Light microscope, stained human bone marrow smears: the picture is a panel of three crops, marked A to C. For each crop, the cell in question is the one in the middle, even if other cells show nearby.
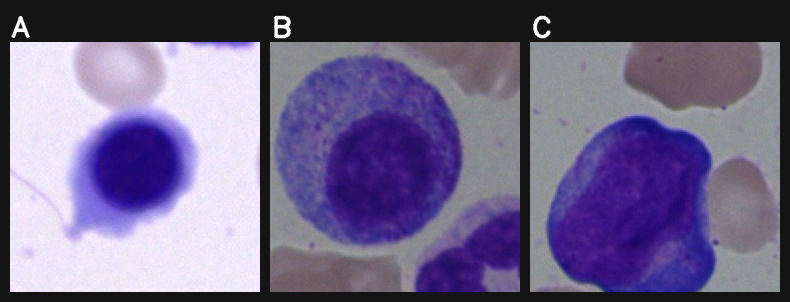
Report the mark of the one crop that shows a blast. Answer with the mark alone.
C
